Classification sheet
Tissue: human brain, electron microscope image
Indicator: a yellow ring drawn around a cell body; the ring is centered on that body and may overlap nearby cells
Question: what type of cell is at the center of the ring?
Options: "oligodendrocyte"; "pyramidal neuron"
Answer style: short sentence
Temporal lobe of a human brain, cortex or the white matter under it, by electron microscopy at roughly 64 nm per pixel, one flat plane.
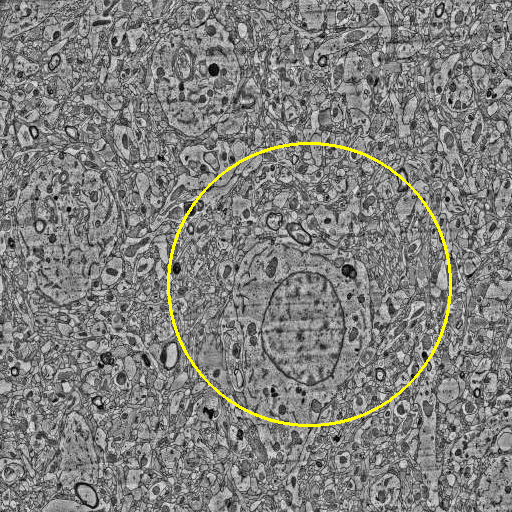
At the ring's center is a pyramidal neuron.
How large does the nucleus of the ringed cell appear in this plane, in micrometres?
In this plane, the nucleus of the cell at the centre of the ring measures about 7 by 5 micrometres.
